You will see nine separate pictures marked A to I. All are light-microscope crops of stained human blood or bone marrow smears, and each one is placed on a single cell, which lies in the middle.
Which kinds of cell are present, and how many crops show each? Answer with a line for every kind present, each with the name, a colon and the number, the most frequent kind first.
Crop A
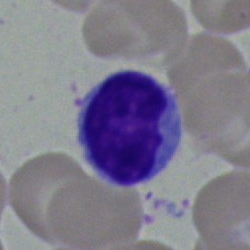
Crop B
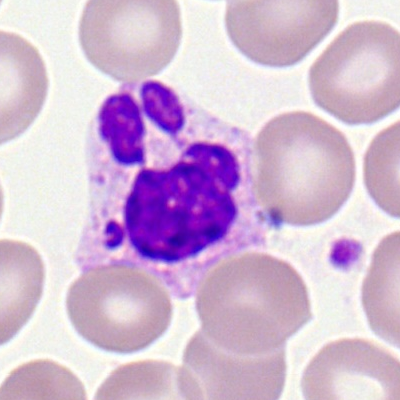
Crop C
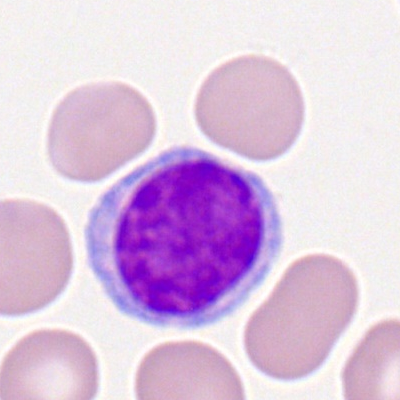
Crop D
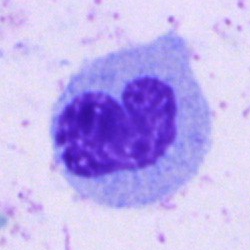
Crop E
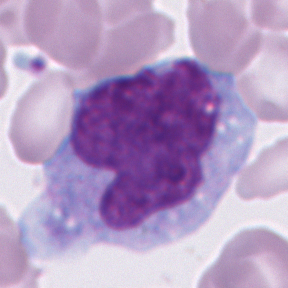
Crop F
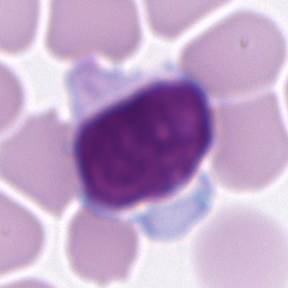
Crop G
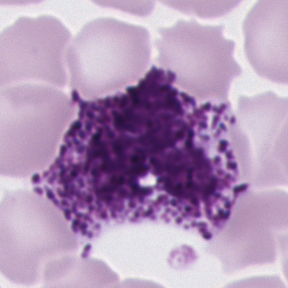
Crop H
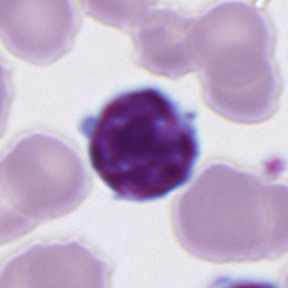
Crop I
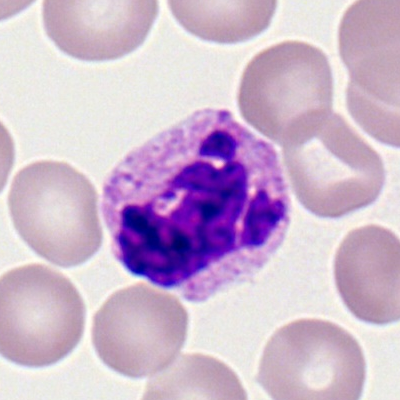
lymphocyte: 4
basophil: 3
monocyte: 2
